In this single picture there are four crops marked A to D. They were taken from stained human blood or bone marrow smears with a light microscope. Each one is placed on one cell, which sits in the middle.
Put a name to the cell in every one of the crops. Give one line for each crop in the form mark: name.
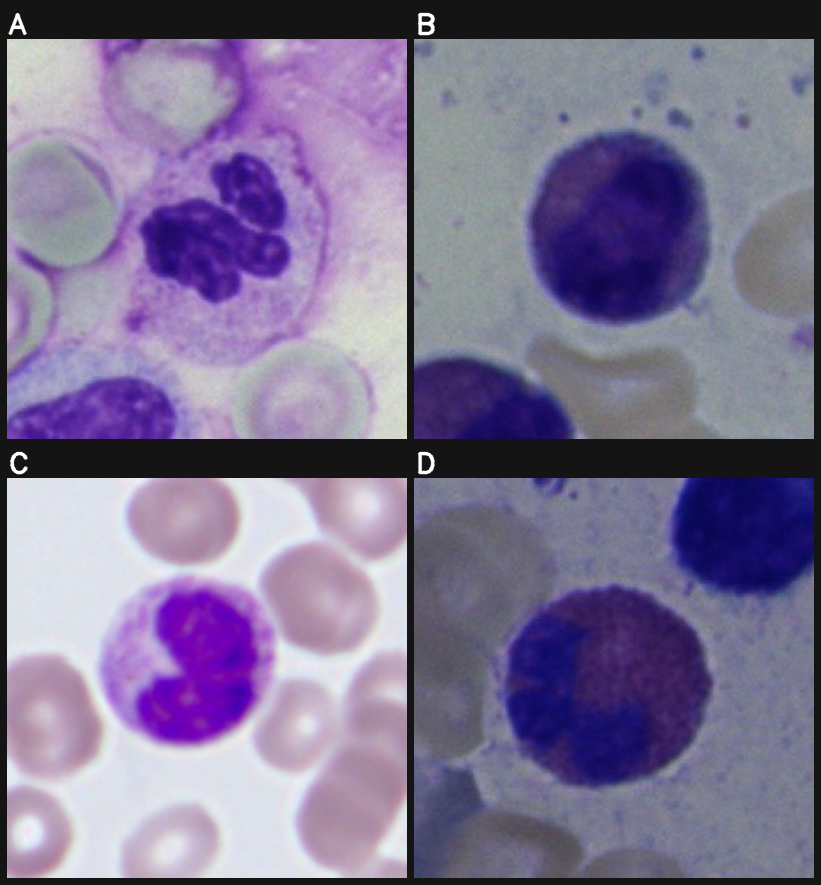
A: segmented neutrophil
B: eosinophil
C: band neutrophil
D: eosinophil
